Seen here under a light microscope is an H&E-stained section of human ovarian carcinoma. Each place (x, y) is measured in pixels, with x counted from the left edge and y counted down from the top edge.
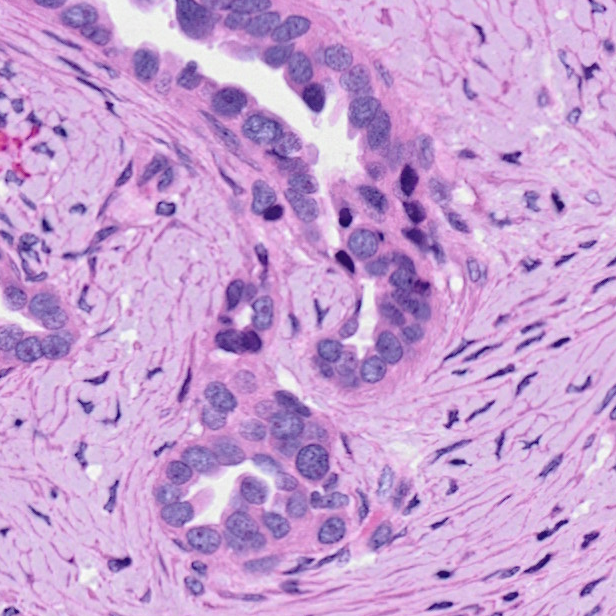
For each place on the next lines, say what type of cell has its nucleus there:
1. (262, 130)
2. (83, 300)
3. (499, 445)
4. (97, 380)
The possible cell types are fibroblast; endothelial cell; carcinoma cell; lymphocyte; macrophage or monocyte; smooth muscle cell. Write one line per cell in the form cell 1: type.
cell 1: carcinoma cell
cell 2: fibroblast
cell 3: fibroblast
cell 4: fibroblast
